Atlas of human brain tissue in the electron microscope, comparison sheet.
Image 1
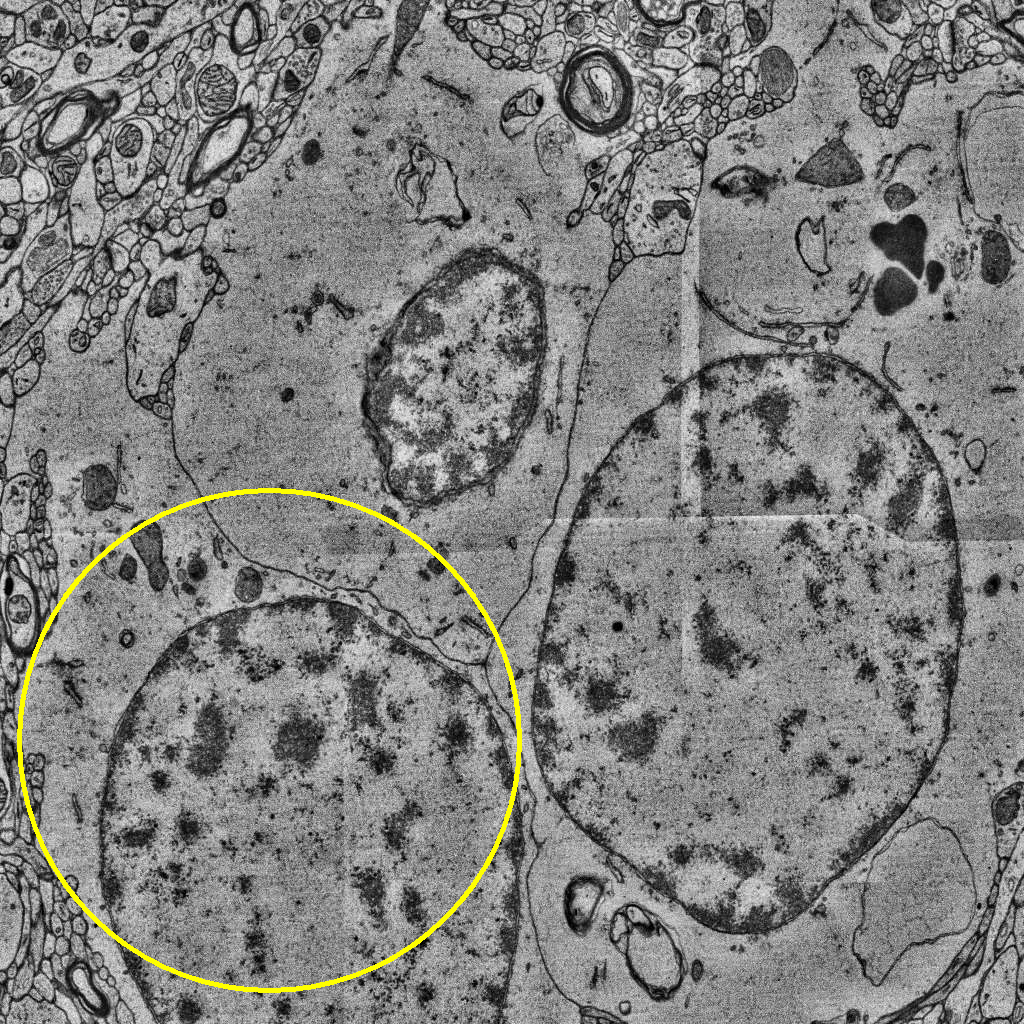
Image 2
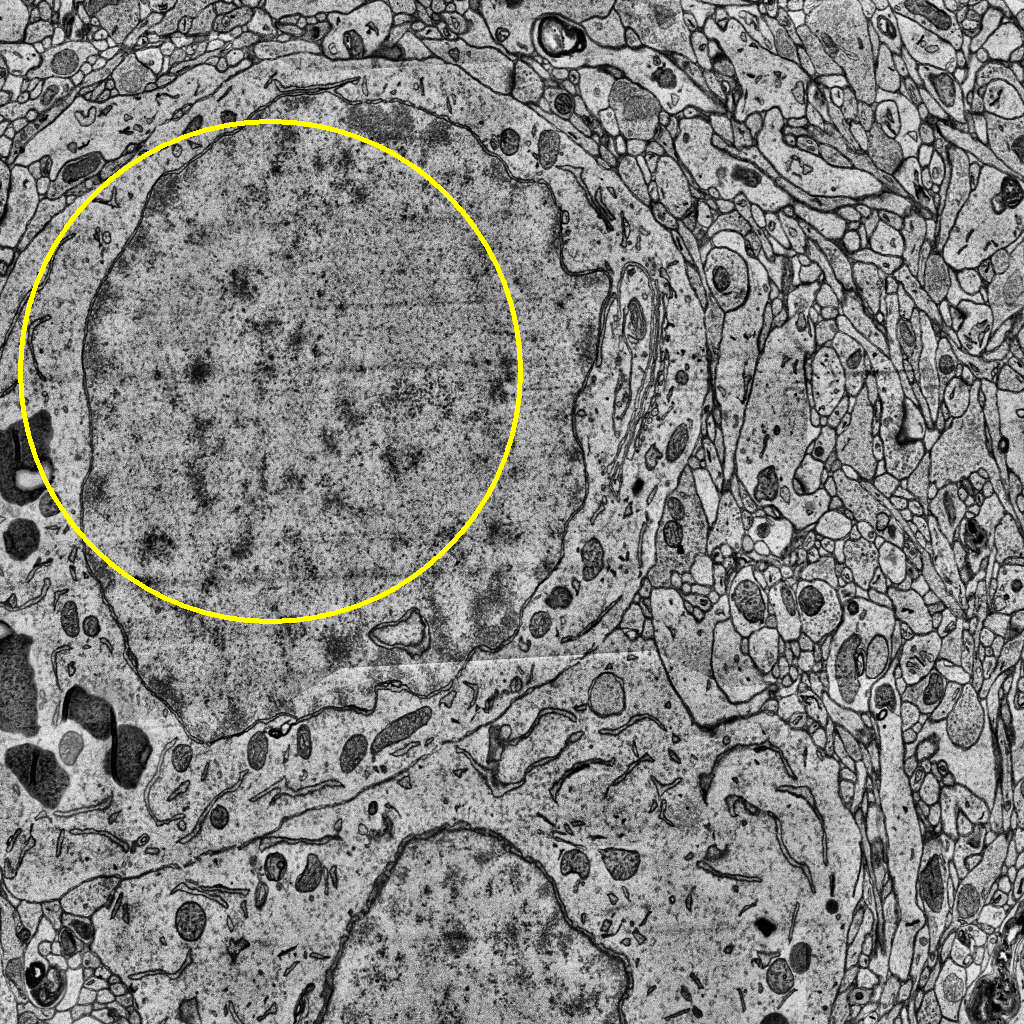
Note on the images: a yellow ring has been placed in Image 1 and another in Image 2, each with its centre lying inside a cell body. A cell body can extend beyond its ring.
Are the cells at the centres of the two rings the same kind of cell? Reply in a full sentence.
No, the two cells are of two kinds.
